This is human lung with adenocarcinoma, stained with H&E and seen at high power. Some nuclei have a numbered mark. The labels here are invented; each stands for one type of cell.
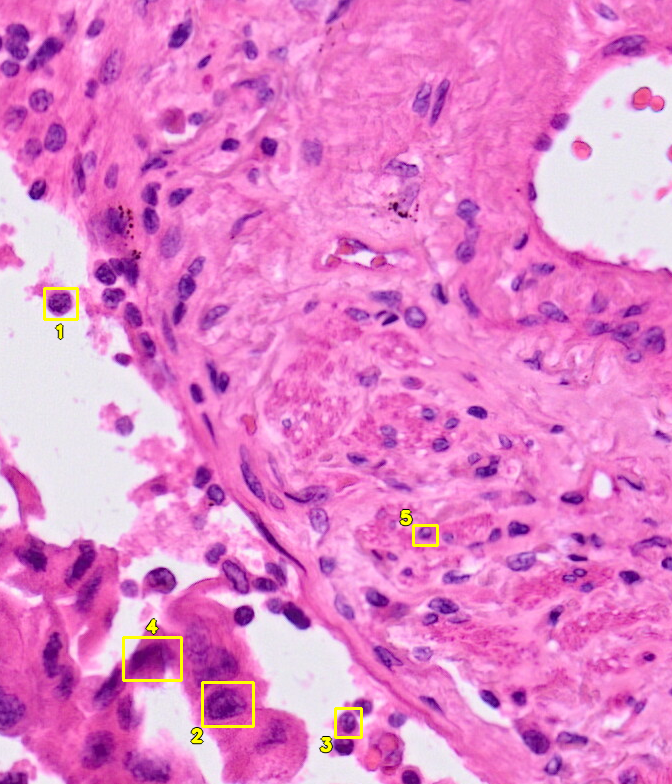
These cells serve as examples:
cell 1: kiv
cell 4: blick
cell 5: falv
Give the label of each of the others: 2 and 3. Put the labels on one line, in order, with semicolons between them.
blick; kiv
